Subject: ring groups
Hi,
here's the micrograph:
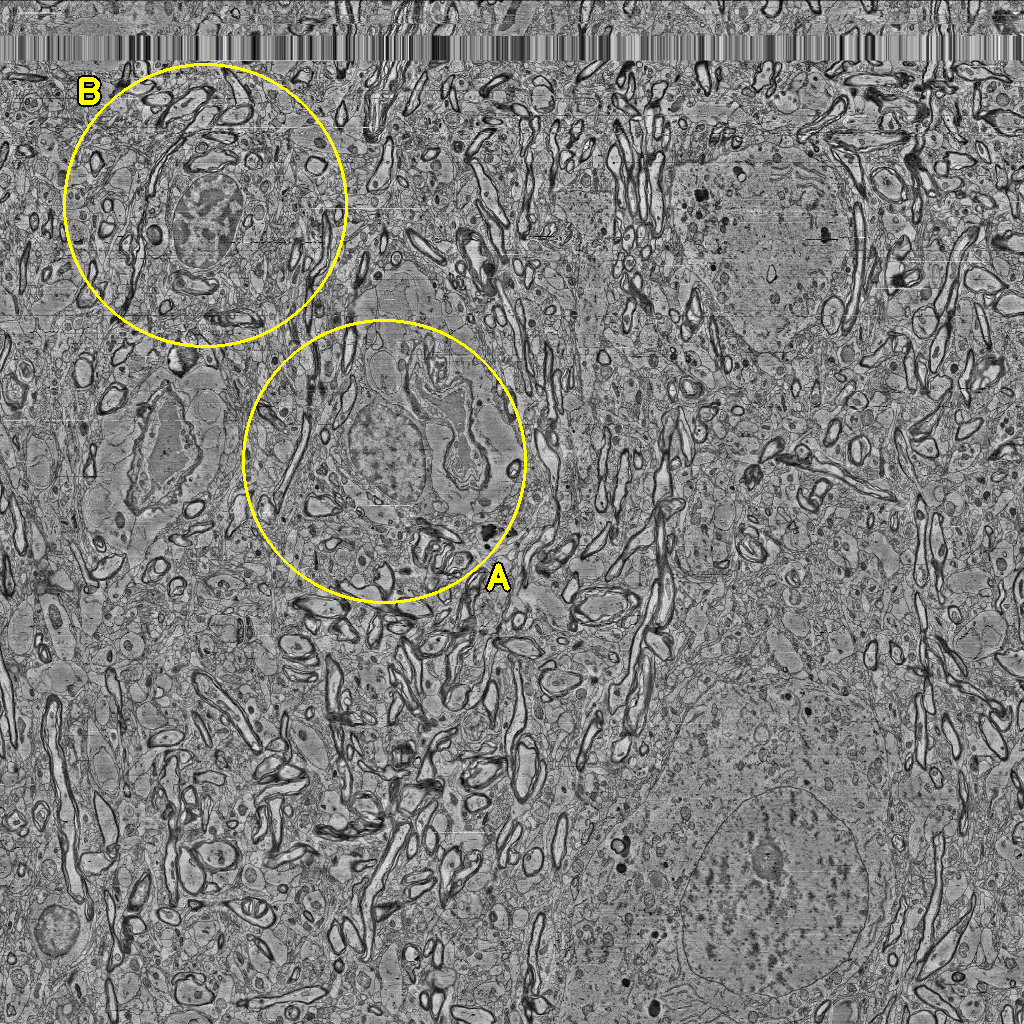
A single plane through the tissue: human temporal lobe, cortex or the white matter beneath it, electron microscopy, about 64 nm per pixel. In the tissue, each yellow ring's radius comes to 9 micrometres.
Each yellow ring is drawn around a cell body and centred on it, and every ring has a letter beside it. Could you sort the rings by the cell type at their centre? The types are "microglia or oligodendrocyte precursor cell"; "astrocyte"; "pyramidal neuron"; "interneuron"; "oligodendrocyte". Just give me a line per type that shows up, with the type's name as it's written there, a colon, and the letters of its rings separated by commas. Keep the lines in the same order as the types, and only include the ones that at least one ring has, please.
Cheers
microglia or oligodendrocyte precursor cell: B
oligodendrocyte: A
